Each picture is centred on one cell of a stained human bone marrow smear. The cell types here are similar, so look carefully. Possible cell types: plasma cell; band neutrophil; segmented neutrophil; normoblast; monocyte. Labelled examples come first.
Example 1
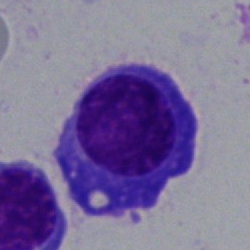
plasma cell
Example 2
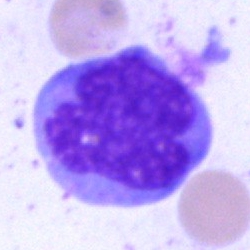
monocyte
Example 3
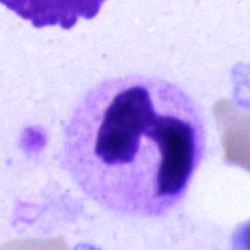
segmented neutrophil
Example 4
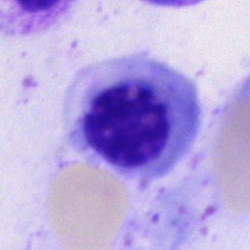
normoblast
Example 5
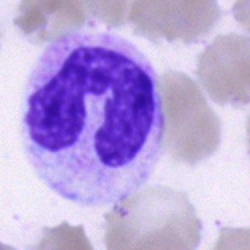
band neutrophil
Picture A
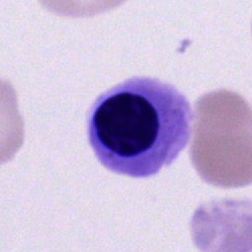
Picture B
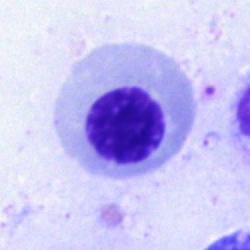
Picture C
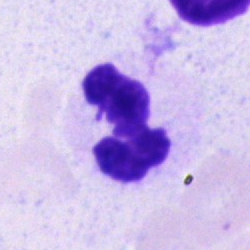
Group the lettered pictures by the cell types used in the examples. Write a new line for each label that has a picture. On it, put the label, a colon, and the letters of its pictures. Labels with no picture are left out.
segmented neutrophil: C
normoblast: A, B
